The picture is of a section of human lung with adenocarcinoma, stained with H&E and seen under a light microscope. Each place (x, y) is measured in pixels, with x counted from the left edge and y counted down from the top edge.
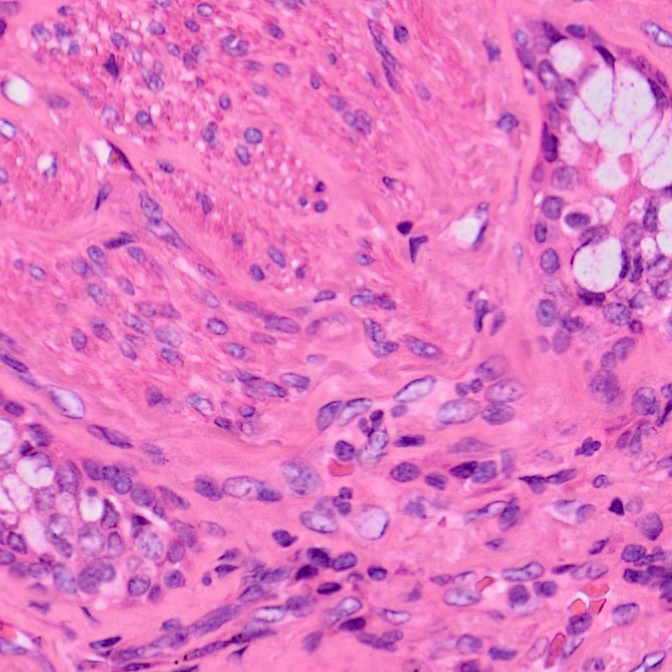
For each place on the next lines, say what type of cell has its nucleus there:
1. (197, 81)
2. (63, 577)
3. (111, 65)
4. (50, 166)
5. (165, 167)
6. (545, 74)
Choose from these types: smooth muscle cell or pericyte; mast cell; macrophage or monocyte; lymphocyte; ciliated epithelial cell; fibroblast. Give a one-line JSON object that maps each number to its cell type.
{"1": "smooth muscle cell or pericyte", "2": "ciliated epithelial cell", "3": "smooth muscle cell or pericyte", "4": "smooth muscle cell or pericyte", "5": "smooth muscle cell or pericyte", "6": "ciliated epithelial cell"}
